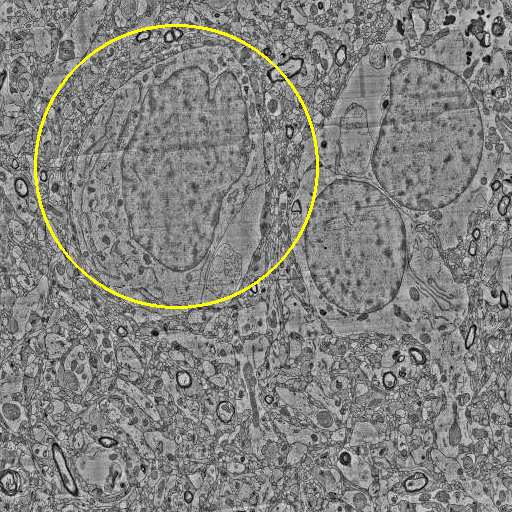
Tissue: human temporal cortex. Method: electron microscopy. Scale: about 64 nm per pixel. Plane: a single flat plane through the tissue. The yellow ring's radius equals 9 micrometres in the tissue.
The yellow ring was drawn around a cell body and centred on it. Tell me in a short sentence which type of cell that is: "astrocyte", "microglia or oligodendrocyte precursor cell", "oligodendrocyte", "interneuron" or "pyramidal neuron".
The cell at the ring's centre is an interneuron.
